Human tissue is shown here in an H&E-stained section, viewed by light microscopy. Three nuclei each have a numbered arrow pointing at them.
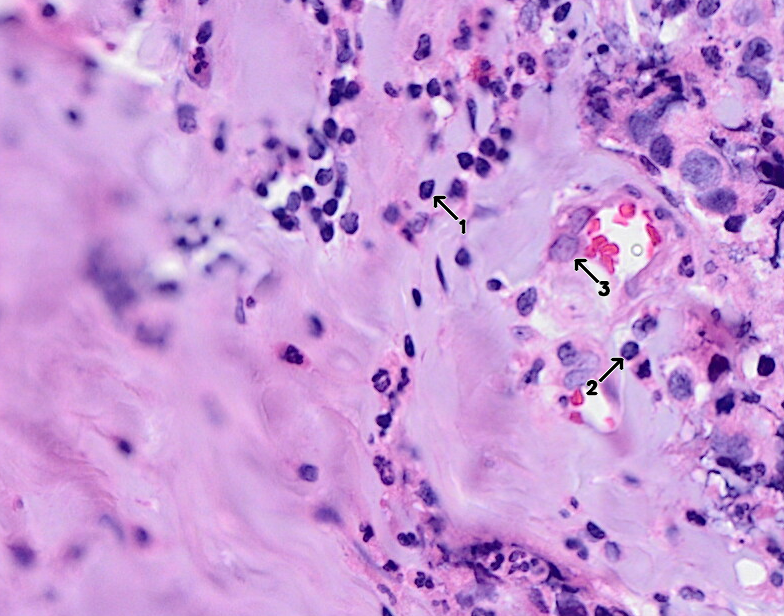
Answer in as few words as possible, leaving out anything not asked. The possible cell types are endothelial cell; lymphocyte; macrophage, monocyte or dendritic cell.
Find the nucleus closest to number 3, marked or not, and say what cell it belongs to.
endothelial cell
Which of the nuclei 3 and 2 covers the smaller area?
2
